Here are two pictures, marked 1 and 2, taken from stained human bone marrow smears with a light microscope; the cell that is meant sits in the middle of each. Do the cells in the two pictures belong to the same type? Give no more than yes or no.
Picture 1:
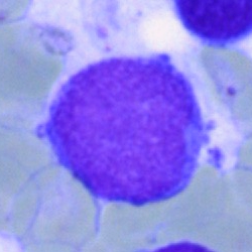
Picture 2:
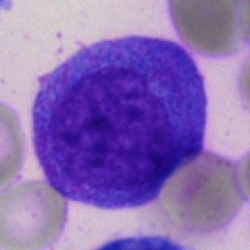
no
